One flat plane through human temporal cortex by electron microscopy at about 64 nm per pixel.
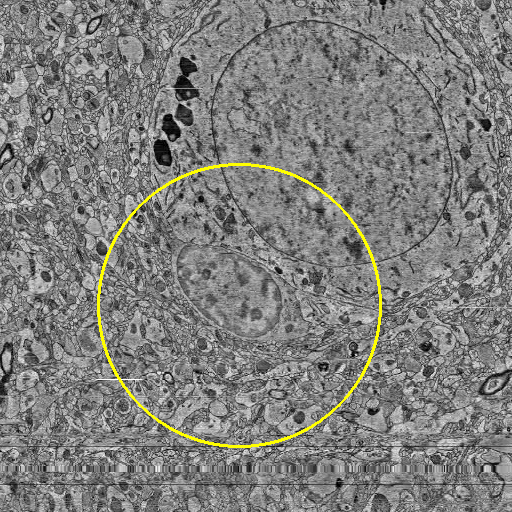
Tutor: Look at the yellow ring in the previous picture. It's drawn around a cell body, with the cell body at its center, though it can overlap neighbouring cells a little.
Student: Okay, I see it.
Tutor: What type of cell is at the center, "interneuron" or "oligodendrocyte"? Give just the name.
oligodendrocyte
